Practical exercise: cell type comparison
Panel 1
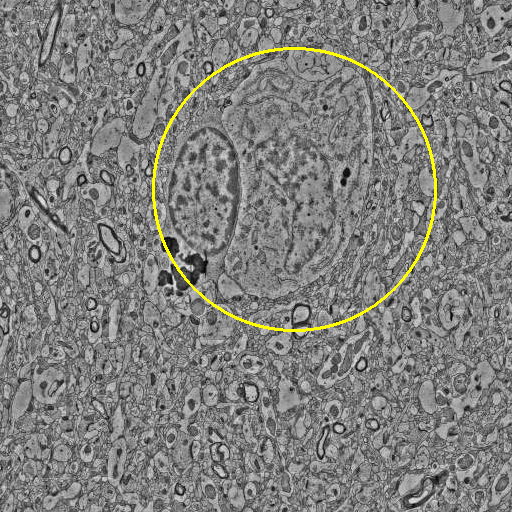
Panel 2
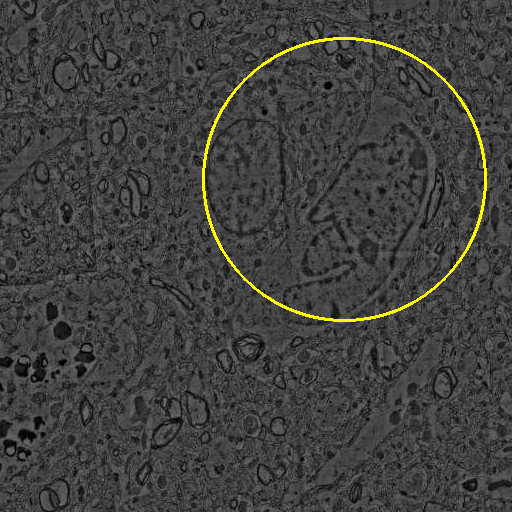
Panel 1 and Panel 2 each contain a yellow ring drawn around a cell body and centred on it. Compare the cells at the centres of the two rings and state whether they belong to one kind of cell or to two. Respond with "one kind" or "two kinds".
two kinds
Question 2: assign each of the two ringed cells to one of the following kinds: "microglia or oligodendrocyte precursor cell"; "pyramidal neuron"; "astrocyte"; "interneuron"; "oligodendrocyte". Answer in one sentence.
The two cells are an interneuron in the first picture and a microglial cell or oligodendrocyte precursor cell in the second.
